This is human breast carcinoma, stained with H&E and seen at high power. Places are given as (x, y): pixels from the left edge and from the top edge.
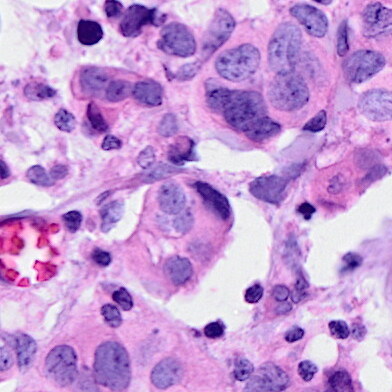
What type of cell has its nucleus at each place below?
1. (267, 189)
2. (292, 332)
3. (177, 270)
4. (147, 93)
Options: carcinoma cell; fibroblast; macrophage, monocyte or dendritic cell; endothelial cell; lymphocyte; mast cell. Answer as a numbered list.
1. carcinoma cell
2. lymphocyte
3. carcinoma cell
4. carcinoma cell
